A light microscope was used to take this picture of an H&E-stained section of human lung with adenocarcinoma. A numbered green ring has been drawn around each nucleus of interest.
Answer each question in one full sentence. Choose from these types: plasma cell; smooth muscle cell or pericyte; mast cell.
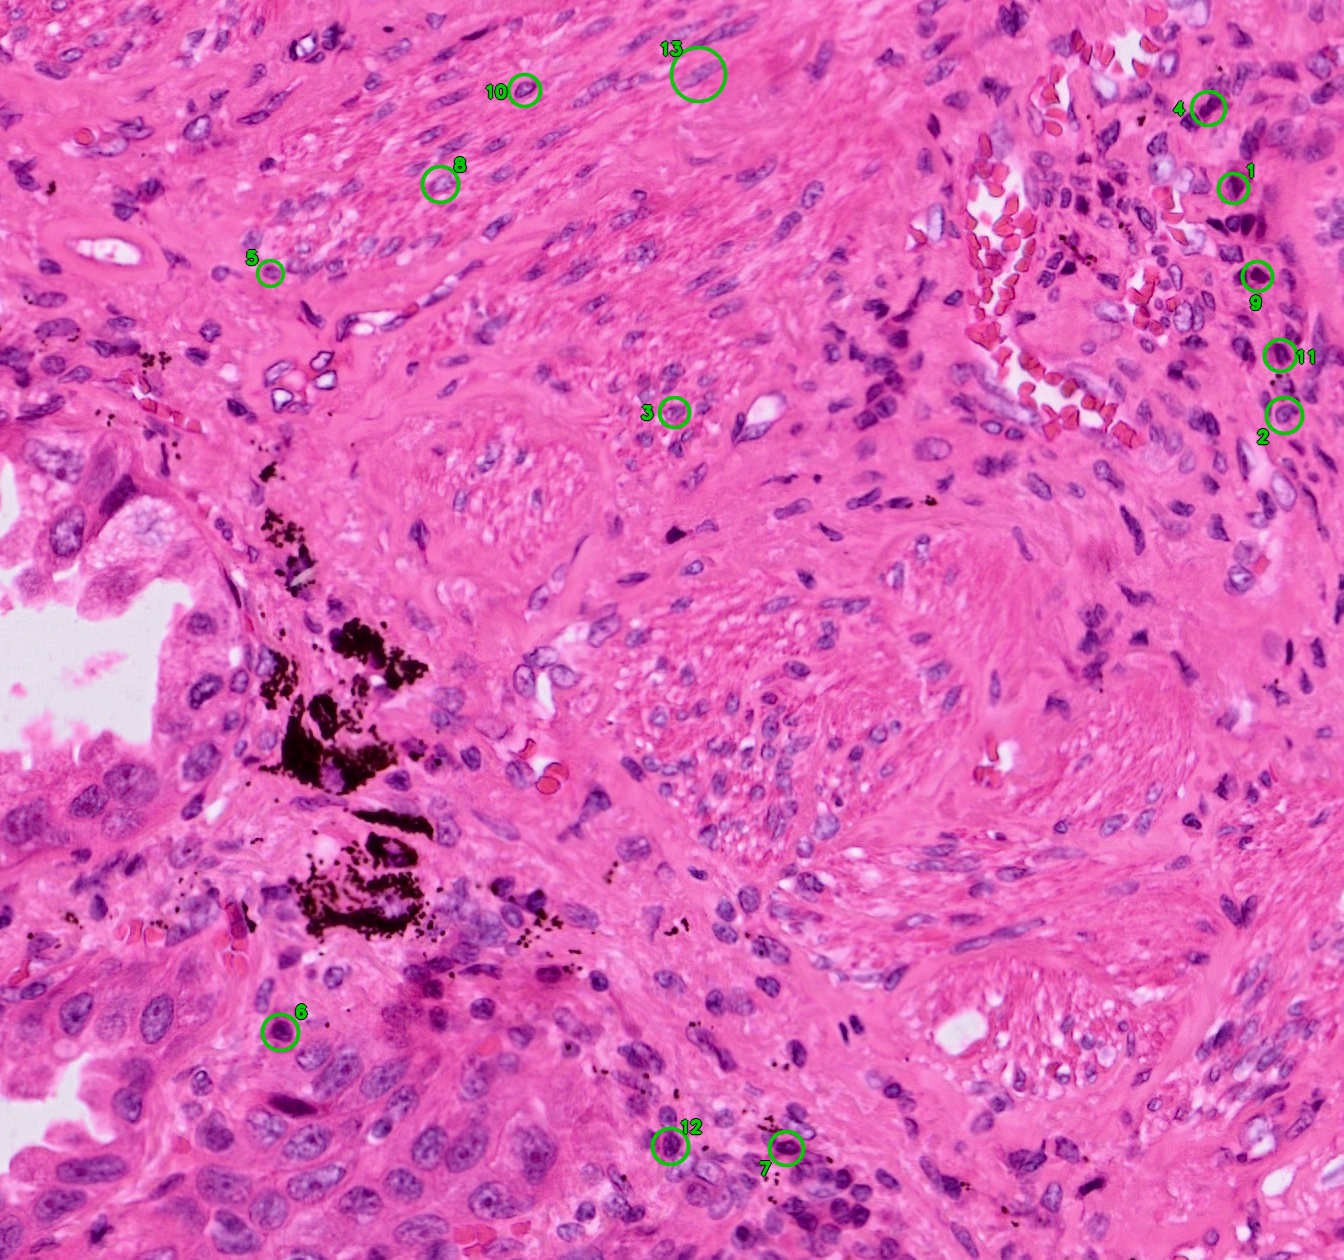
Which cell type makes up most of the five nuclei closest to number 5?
Most of the five nuclei nearest to number 5 are those of smooth muscle cells or pericytes.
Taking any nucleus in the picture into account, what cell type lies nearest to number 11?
Closest to number 11 lies the nucleus of a plasma cell.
